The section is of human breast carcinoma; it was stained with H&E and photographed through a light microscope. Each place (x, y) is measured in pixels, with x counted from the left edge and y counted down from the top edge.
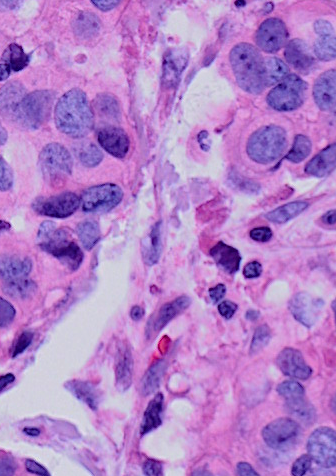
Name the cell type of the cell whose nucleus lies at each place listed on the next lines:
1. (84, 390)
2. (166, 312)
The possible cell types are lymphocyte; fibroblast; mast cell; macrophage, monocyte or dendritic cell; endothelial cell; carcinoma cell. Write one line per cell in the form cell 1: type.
cell 1: fibroblast
cell 2: endothelial cell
